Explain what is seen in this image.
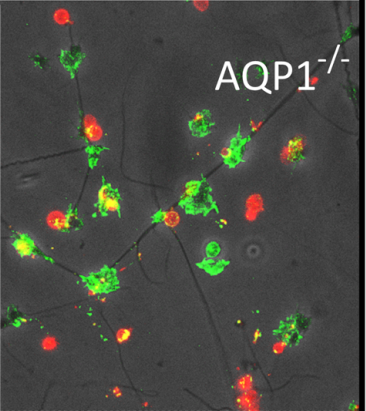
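This field shows many small platelets lying on a flat surface crossed by fine dark lines, in phase contrast with red and green fluorescence overlaid. Many platelets are spread into small irregular shapes with short processes, and these are mainly green, with some yellow where colours overlap. Other platelets are compact round bodies stained red. Broad, flattened red sheets are largely absent from this field. Small green and red specks lie scattered between the cells.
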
